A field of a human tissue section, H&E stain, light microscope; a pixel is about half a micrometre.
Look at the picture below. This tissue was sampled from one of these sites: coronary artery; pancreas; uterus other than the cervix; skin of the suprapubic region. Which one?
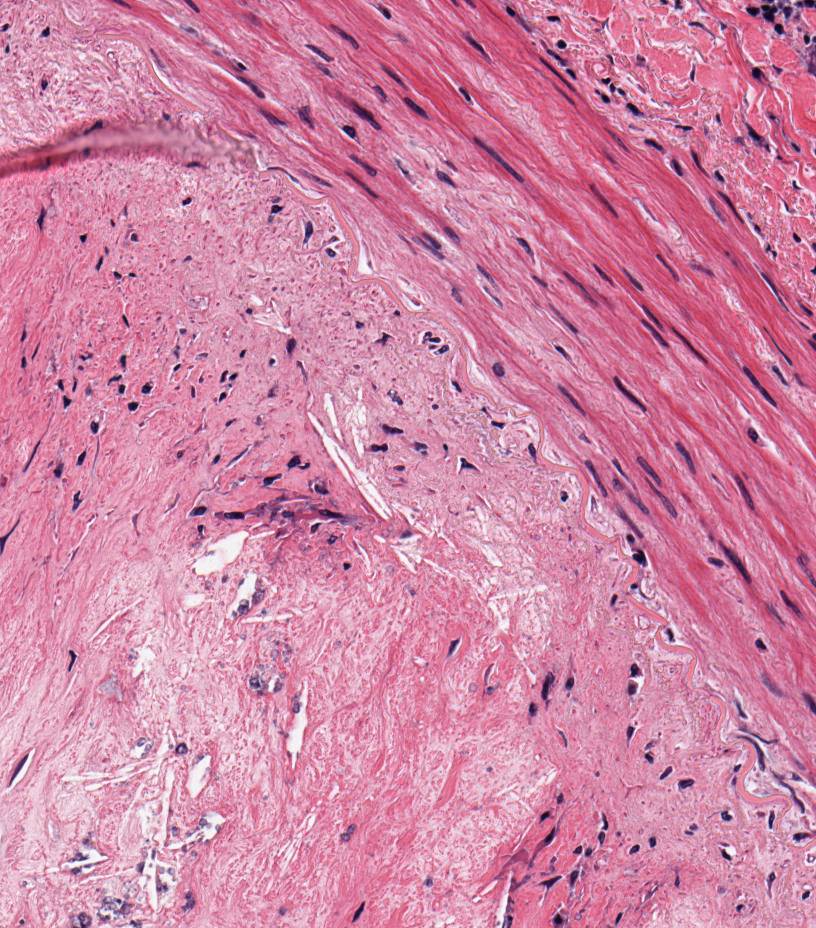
coronary artery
